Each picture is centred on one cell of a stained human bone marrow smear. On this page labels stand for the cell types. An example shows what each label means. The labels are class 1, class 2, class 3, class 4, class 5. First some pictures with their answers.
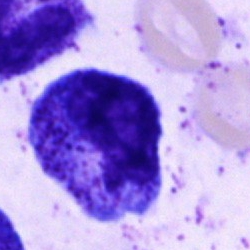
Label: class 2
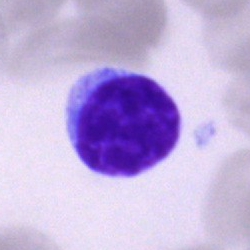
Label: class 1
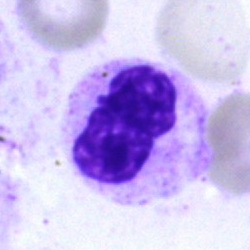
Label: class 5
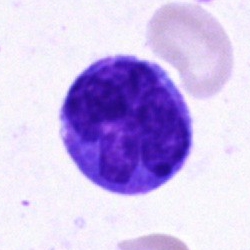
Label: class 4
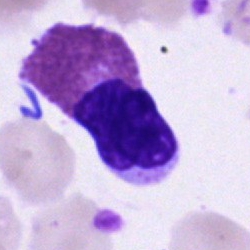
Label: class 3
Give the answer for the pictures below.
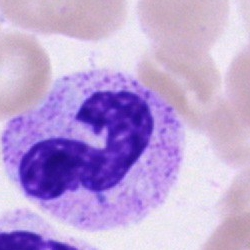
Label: class 5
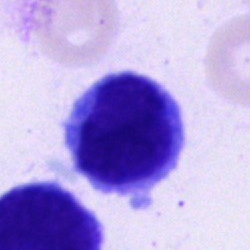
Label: class 4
